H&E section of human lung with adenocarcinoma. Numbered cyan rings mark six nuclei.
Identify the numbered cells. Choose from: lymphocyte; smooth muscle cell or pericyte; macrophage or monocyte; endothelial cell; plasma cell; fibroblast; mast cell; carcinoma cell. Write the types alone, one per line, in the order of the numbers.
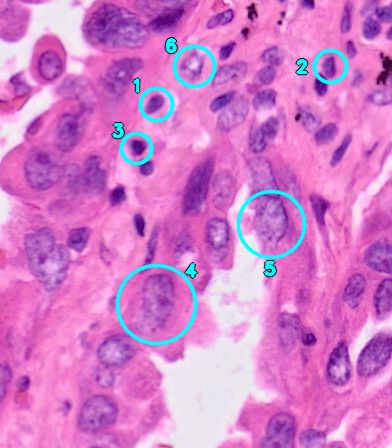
lymphocyte
lymphocyte
lymphocyte
carcinoma cell
carcinoma cell
fibroblast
